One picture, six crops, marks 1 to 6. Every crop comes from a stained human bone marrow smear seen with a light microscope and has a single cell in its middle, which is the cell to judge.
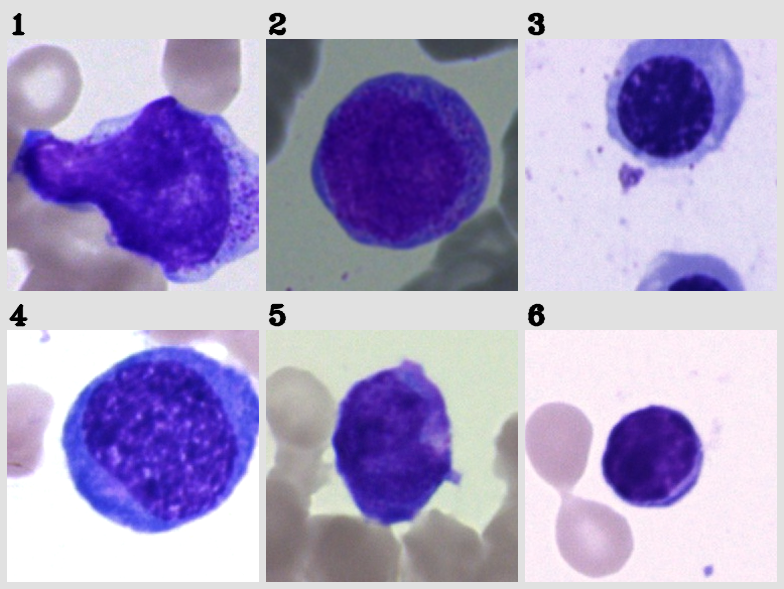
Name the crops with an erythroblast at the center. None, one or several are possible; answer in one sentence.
The cells in crops 3 and 4 are erythroblasts.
